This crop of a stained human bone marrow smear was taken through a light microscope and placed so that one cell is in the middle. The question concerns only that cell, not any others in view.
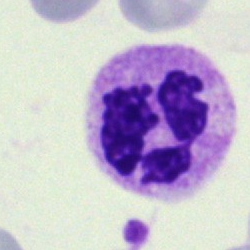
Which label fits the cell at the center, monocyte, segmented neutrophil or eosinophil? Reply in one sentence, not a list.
The cell nearest the centre of this crop is a segmented neutrophil.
